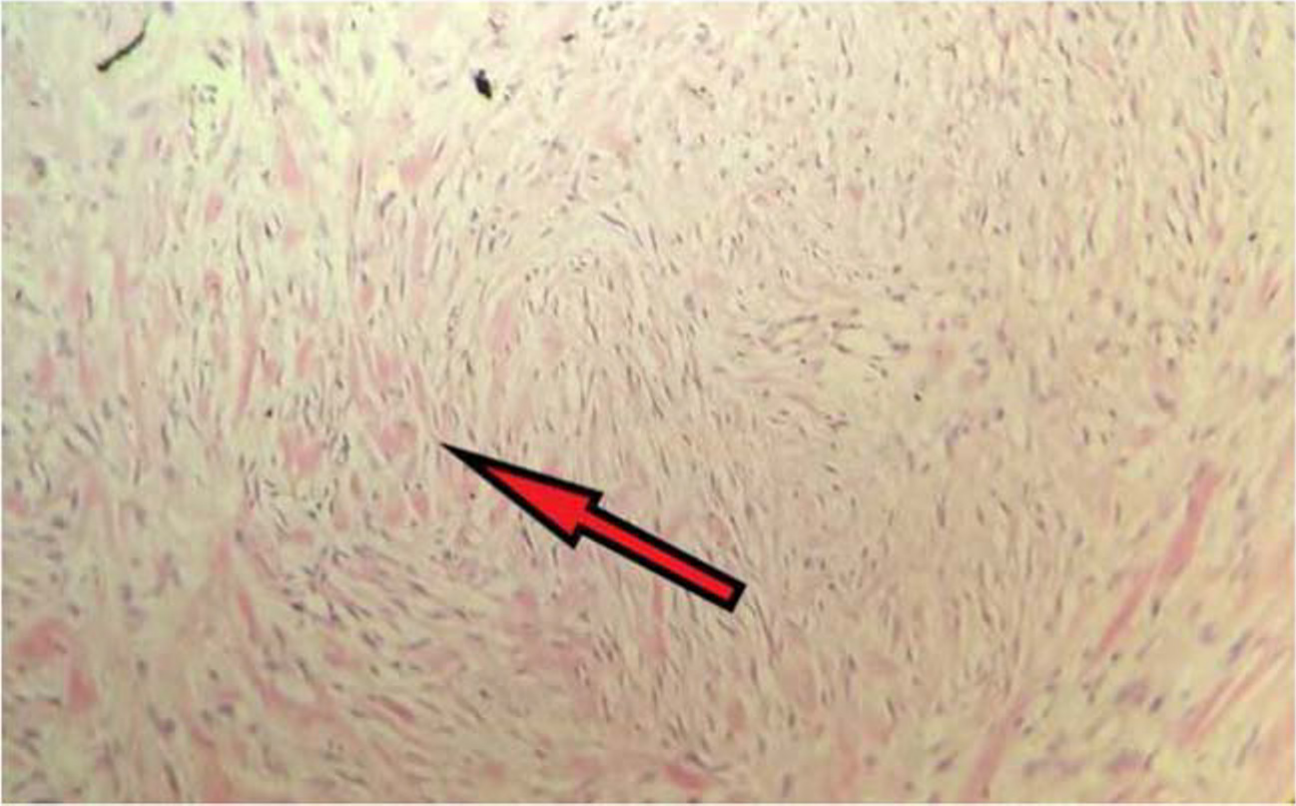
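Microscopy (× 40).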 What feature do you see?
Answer: whorls and storiform pattern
